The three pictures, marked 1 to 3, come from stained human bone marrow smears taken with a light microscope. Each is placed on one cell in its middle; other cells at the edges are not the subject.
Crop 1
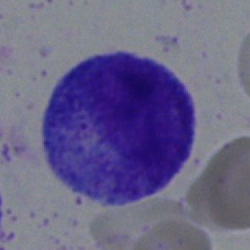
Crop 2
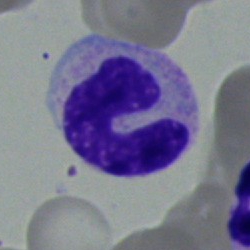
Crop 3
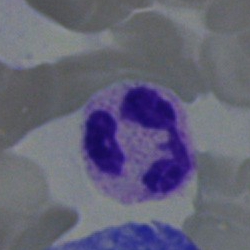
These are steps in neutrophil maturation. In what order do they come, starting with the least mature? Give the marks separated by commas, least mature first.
1, 2, 3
